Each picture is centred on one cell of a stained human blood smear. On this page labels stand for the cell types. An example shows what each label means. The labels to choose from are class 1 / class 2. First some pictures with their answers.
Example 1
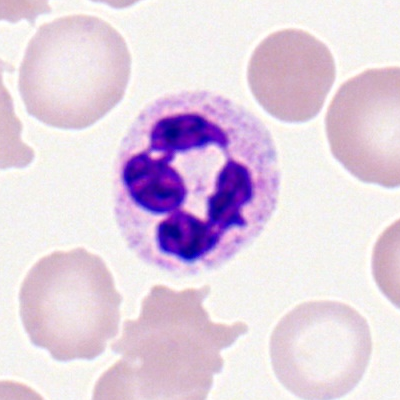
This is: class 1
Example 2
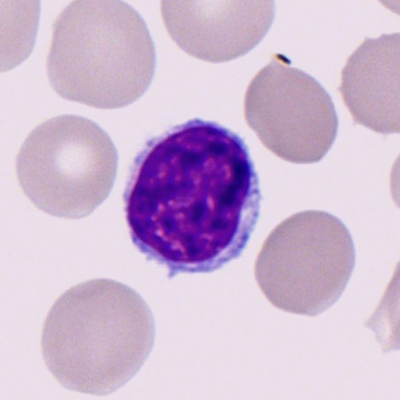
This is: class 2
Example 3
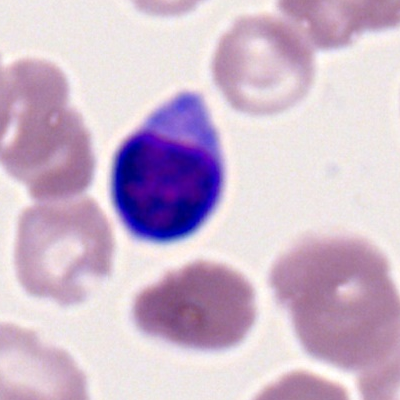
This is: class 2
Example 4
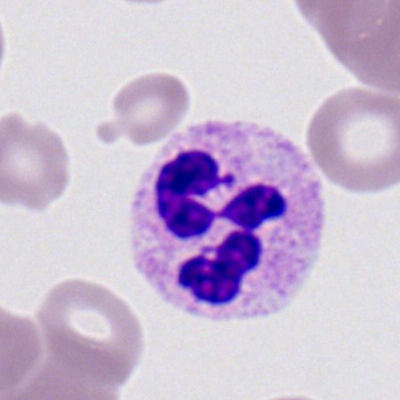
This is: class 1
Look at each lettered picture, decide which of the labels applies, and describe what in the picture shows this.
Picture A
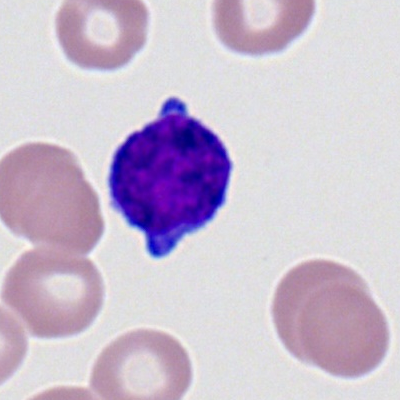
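Answer: class 2. The nucleus fills almost the whole cell.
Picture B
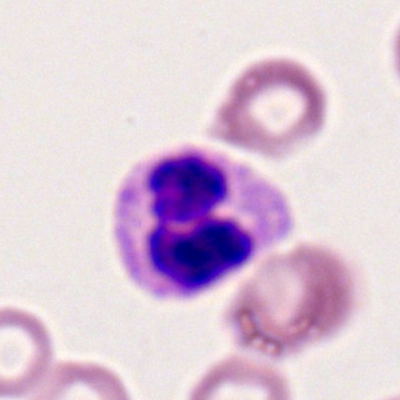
Answer: class 1. The nucleus is divided into two lobes, one lying above the other.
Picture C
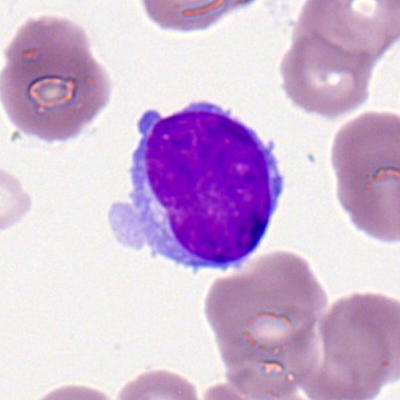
Answer: class 2. The nucleus fills most of the cell and sits toward the right side.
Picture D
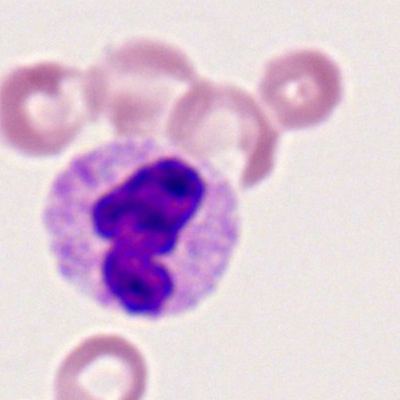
Answer: class 1. The nucleus is divided into two lobes, one above the other.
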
